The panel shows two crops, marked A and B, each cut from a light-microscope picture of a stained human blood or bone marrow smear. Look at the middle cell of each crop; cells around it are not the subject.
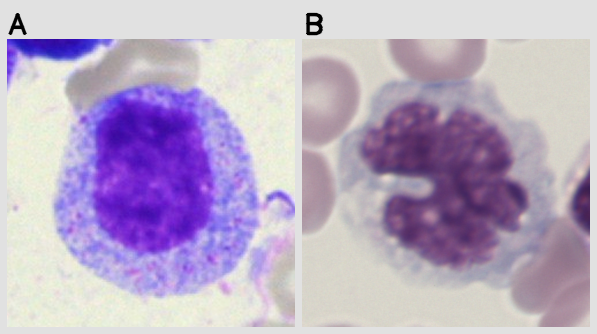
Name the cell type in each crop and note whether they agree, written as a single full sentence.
No, the middle of crop A shows a myelocyte, and the middle of crop B shows a monocyte.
